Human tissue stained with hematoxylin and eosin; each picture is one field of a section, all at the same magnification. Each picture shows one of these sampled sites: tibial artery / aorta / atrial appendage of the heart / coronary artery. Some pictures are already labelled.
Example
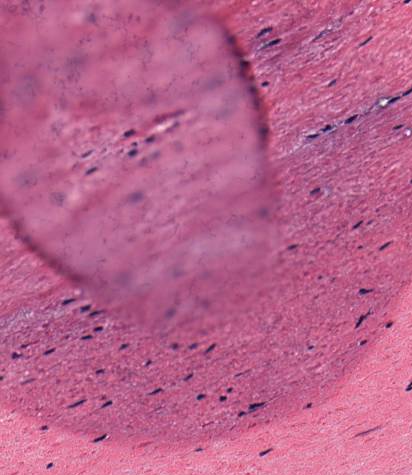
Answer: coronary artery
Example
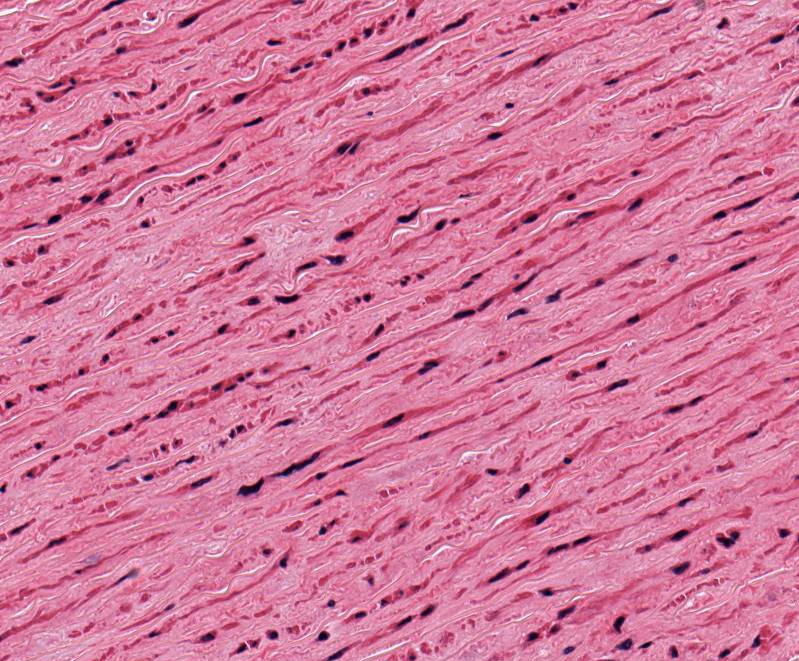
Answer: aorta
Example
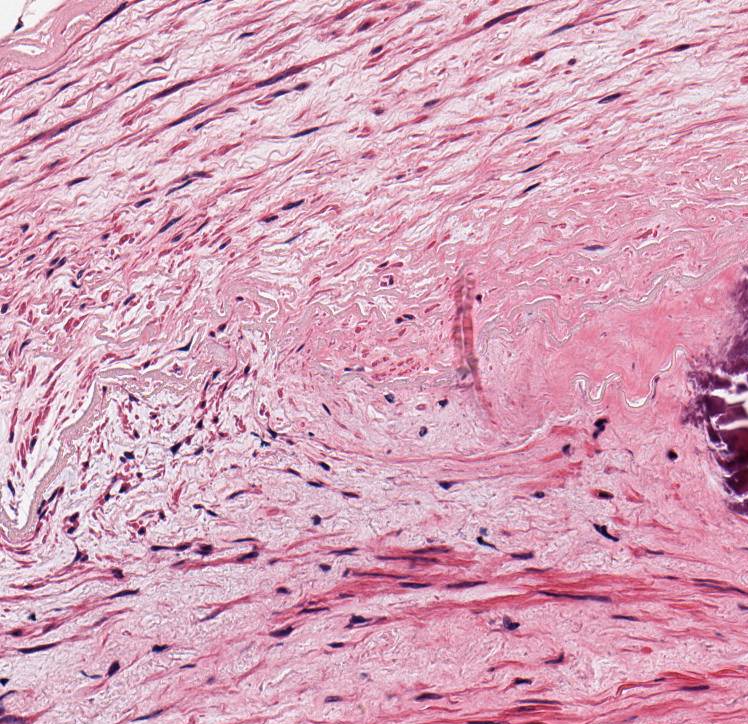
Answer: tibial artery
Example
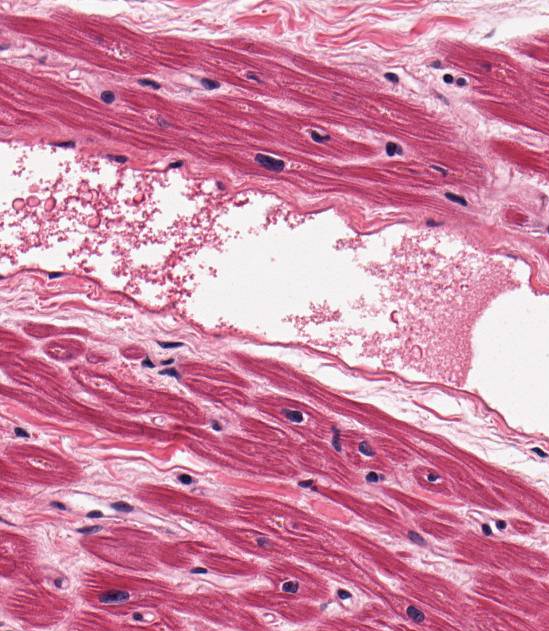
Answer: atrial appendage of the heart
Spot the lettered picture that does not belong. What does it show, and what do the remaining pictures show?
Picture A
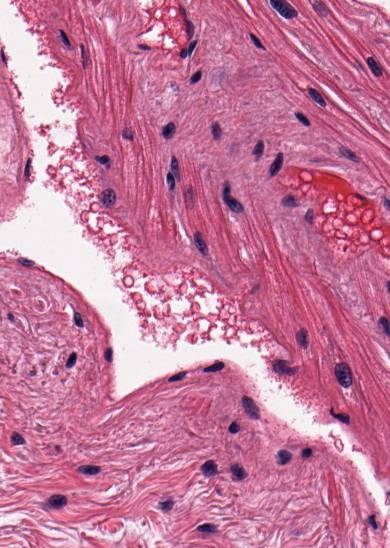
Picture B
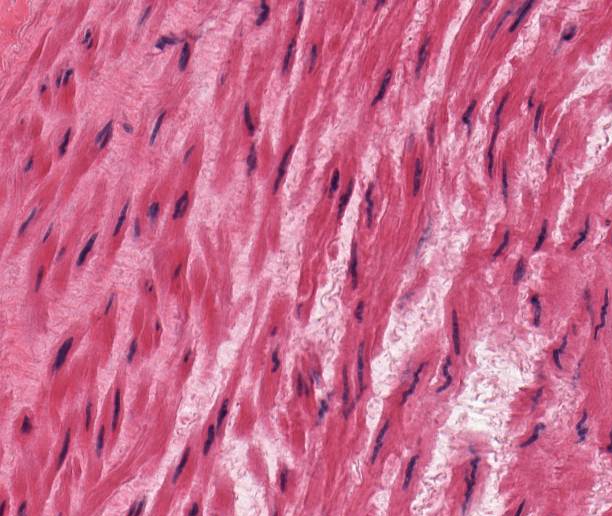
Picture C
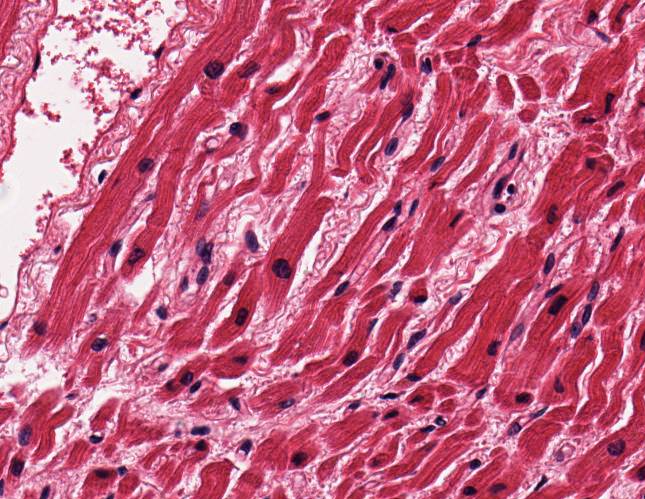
B differs and shows tibial artery; the others show atrial appendage of the heart.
